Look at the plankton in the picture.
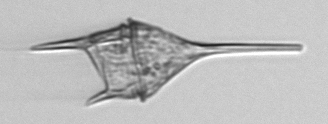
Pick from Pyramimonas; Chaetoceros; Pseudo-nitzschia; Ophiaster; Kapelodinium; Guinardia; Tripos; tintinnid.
Tripos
